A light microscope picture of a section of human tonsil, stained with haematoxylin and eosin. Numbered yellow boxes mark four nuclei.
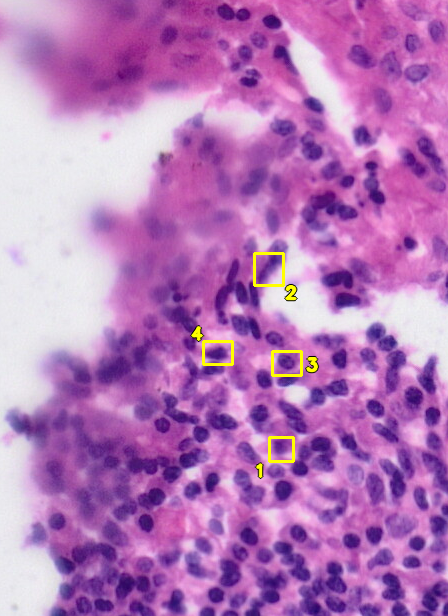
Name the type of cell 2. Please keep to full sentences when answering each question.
It is as a squamous epithelial cell that the cell numbered 2 is identified.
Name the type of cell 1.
The cell carrying label 1 is identified as a plasma cell.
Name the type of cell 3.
The one labeled 3 is a plasma cell, to put it simply.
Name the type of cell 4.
In the marked set, the cell given number 4 is a squamous epithelial cell.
